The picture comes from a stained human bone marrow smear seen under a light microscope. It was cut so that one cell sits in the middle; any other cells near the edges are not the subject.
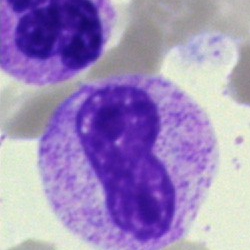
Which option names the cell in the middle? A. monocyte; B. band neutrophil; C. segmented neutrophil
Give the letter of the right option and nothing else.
B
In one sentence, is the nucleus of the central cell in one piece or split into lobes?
What stands out is the nucleus, split into two or more lobes.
